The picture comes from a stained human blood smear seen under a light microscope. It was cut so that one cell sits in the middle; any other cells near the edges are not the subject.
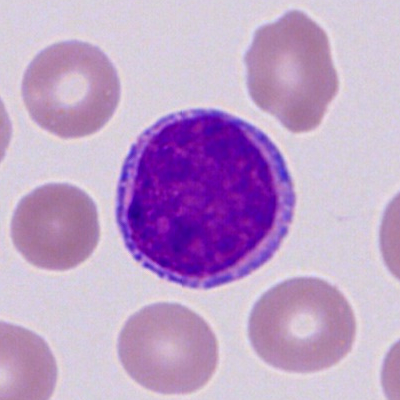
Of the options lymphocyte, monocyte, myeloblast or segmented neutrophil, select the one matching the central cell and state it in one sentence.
The cell positioned in the middle of the field is a myeloblast.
